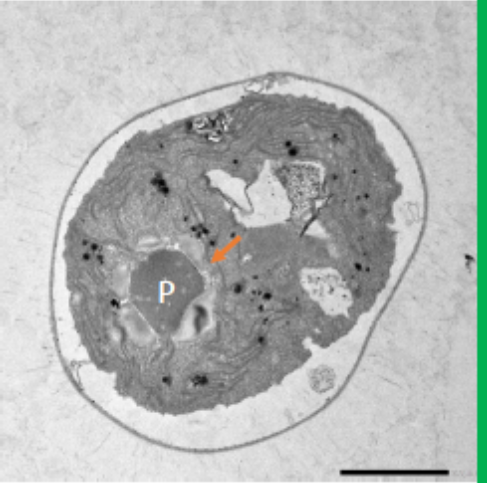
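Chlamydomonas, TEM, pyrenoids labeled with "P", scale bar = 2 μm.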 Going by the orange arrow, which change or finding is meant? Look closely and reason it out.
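The body labeled P is only partly bordered by pale curved plates. The orange arrow points to the side of the body where no pale plate lies. So: gaps in starch sheaths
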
